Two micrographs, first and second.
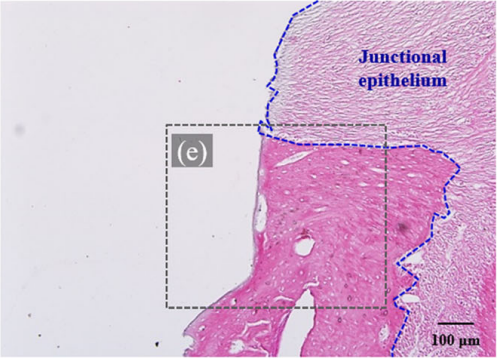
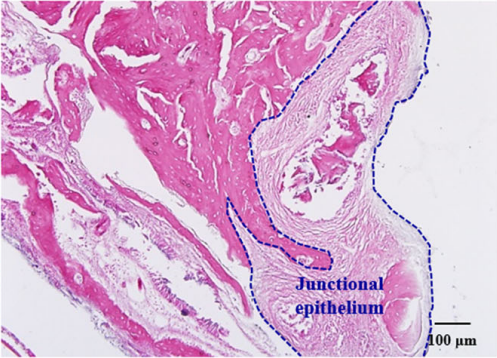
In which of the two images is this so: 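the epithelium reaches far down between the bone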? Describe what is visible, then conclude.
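The second image. Second image: the pale epithelial tissue dips deep down alongside and into irregular, fragmented bone.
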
